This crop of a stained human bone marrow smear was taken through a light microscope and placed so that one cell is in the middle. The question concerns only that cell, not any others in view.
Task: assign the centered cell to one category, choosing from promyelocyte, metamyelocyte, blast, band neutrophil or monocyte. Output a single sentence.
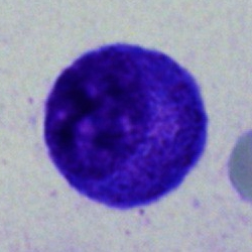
Regarding the central cell, it is a promyelocyte.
